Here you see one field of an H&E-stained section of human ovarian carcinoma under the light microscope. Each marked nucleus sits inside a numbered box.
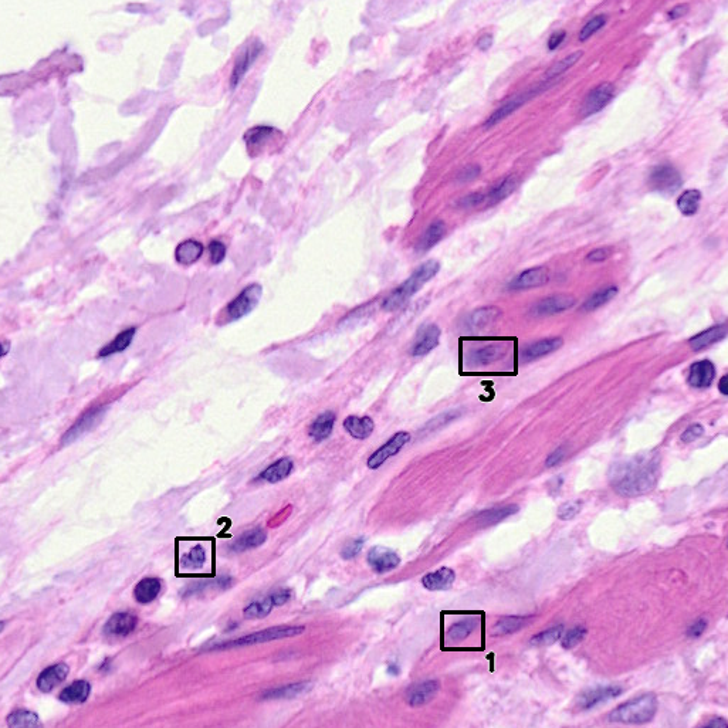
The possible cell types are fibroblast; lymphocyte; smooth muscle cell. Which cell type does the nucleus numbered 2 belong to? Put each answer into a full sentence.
The marked cell with the number 2 is recognised as a lymphocyte.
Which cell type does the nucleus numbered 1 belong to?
Regarding cell 1, this one is a smooth muscle cell.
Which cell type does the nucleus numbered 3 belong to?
The cell pointed out as number 3 is a smooth muscle cell.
